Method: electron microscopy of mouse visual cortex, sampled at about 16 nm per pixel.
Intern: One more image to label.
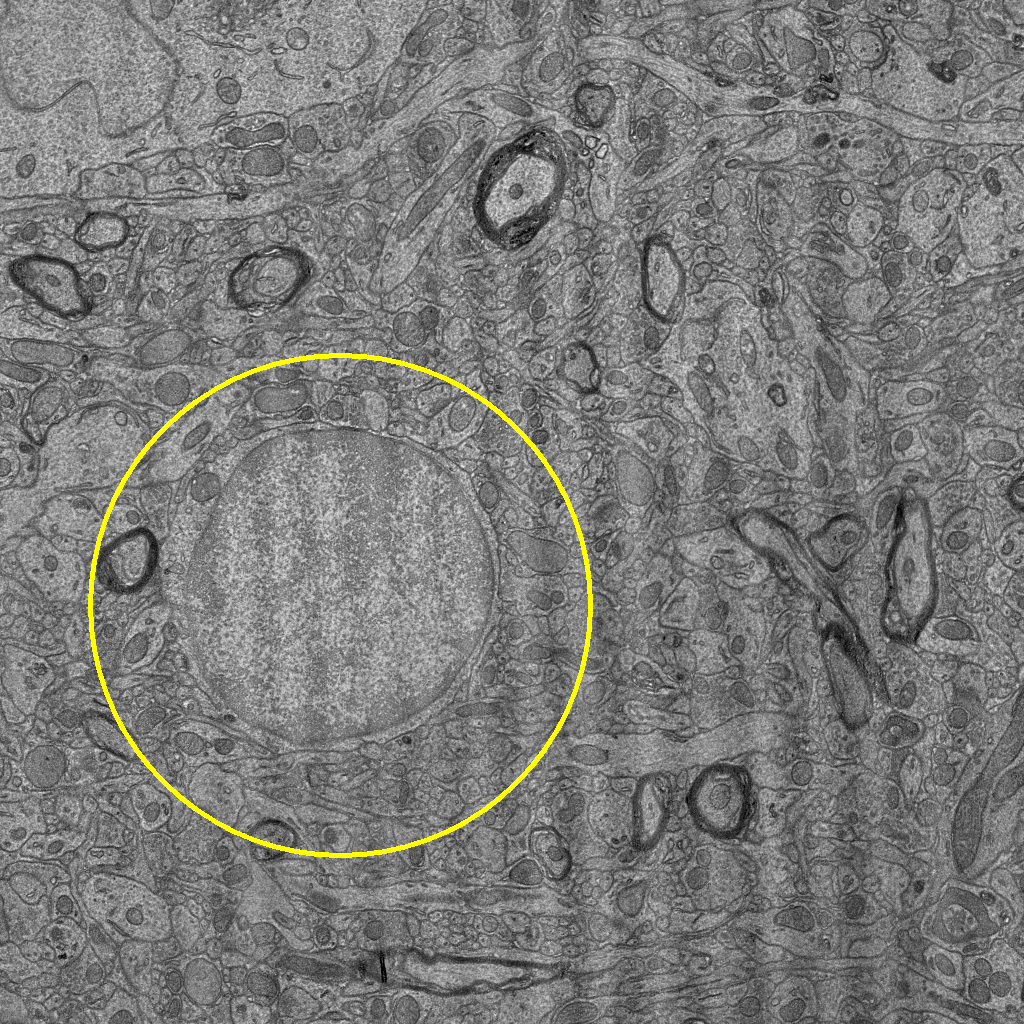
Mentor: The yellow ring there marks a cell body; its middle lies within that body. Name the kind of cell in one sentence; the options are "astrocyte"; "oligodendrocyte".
The ring marks the cell body of an oligodendrocyte.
